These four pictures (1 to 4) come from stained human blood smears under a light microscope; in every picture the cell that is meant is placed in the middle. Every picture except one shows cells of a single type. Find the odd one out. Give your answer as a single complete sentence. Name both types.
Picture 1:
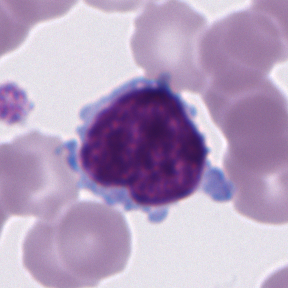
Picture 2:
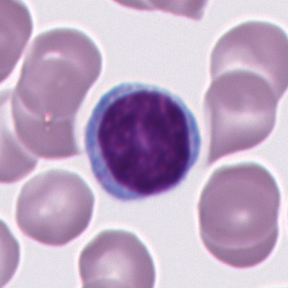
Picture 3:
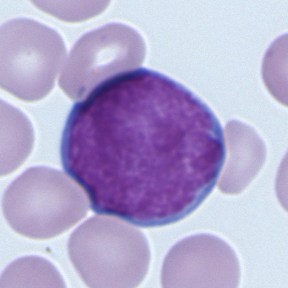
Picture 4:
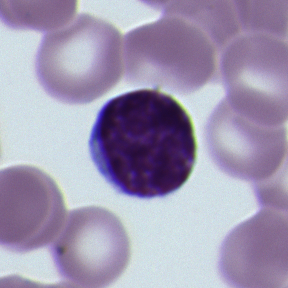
Unlike the rest, which show typical lymphocytes, picture 3 shows a myeloblast.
